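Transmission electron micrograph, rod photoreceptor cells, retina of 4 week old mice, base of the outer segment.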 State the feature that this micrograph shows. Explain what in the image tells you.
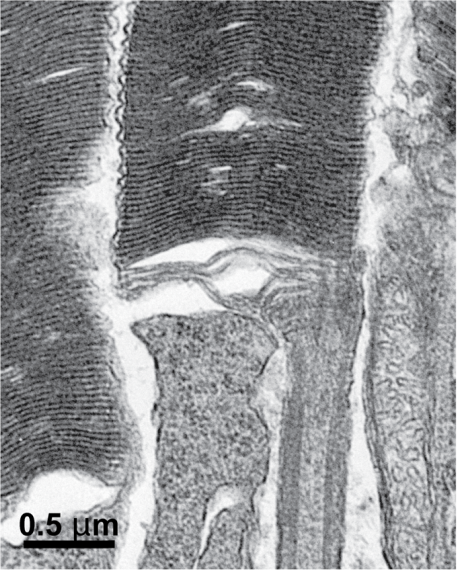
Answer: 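Densely packed, regularly spaced parallel membrane lamellae fill the upper part of the outer segment. The stack sits on top of a narrow shaft with longitudinal microtubule lines at its lower right.
Hence: stacks of membranes disks.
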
